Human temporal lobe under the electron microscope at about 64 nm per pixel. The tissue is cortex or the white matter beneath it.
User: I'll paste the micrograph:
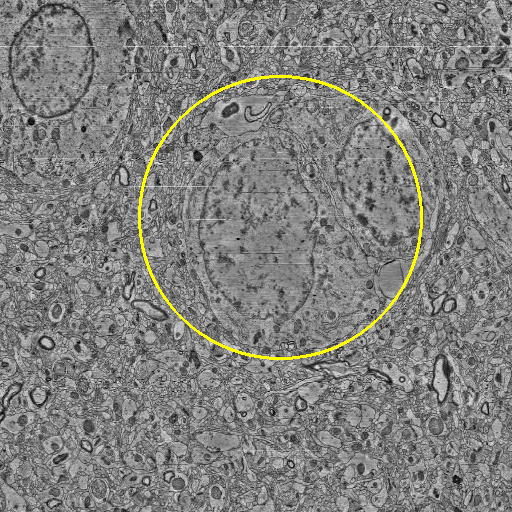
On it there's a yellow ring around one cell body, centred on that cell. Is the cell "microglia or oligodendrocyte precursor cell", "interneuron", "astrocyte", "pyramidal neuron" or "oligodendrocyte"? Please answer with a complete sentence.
The cell ringed in yellow is an interneuron.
